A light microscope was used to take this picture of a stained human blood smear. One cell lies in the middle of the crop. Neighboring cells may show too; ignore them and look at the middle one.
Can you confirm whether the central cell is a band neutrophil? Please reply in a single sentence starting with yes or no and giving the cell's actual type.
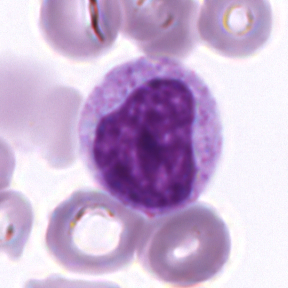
No, the cell in the middle is a metamyelocyte, not a band neutrophil.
